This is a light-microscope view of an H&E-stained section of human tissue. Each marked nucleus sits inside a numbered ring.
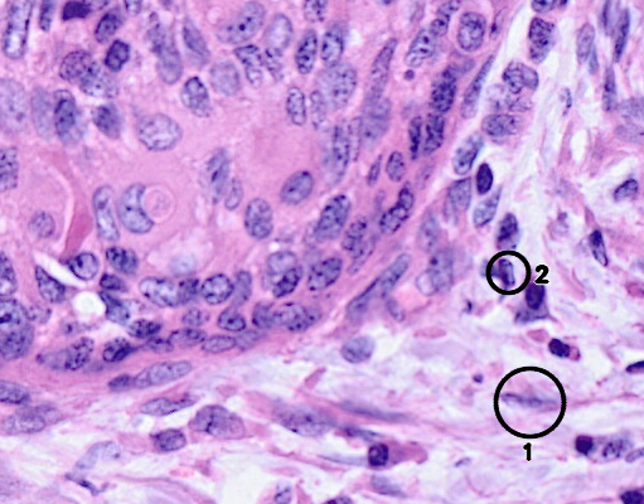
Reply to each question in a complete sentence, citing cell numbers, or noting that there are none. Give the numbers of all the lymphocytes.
As for the numbered cells, only cell 2 is a lymphocyte.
